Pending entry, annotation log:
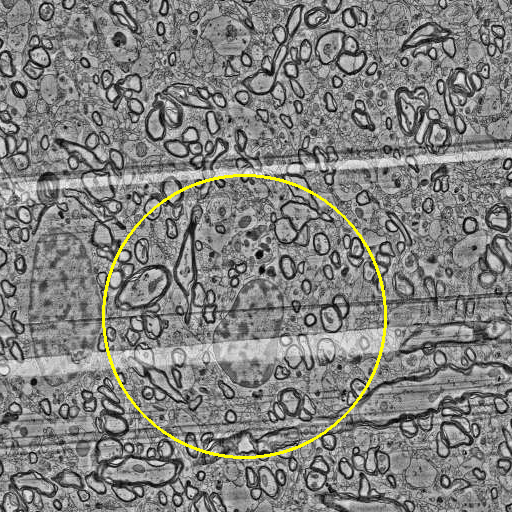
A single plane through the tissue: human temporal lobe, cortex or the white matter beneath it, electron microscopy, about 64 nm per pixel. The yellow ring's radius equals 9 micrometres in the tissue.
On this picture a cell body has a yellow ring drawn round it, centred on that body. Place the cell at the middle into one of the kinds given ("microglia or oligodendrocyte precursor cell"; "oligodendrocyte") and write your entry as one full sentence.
The cell body at the middle of the yellow ring belongs to a microglial cell or oligodendrocyte precursor cell.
